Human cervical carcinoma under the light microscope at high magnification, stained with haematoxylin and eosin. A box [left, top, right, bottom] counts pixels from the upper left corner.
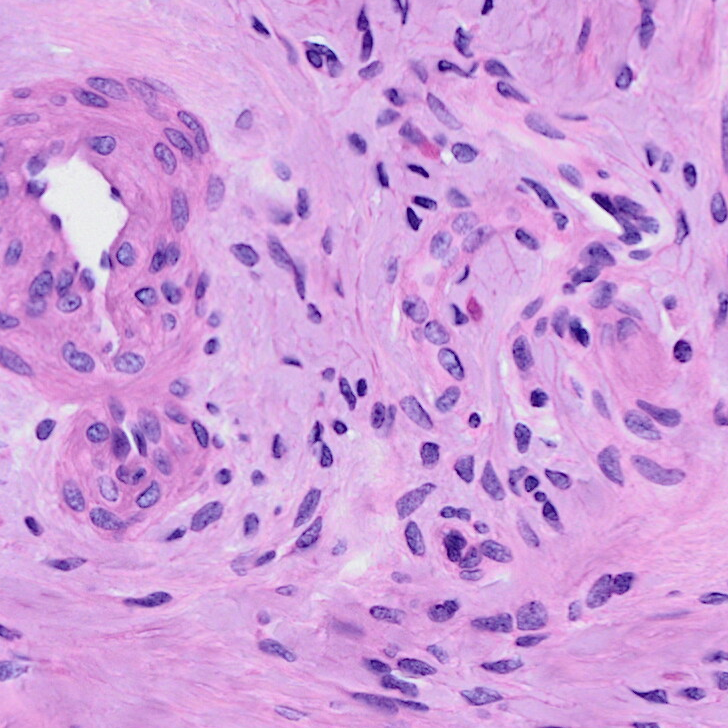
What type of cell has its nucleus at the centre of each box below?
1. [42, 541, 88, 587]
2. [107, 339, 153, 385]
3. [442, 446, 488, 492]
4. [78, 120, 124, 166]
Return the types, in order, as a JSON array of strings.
["fibroblast", "smooth muscle cell", "fibroblast", "smooth muscle cell"]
